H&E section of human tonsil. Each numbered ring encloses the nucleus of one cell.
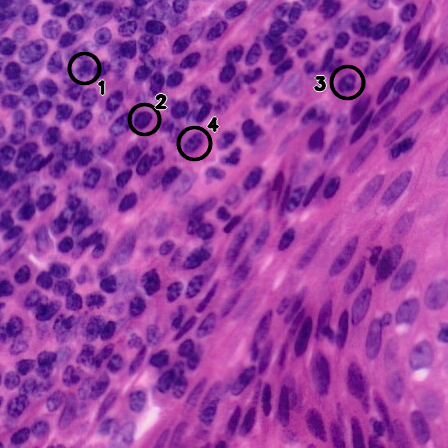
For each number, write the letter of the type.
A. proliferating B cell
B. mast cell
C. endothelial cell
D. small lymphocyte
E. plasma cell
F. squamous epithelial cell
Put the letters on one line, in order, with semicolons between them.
D; E; E; E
